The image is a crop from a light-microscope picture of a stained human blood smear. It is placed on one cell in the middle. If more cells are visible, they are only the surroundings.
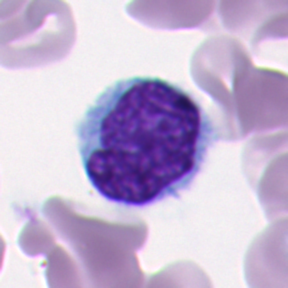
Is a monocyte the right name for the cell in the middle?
yes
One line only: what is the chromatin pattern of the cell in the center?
Its chromatin is clumped in a coarse pattern.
